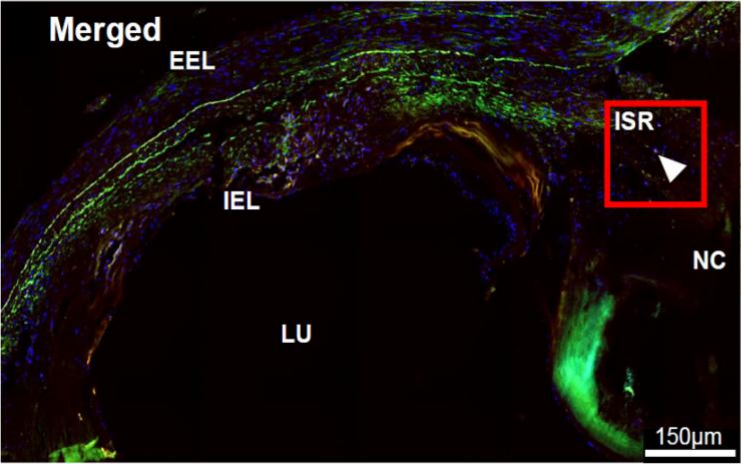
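This is a low-power fluorescence view of an artery wall thickened by an advanced atherosclerotic plaque around a large dark lumen. Bright green wavy bands run parallel to one another in the outer wall, marking the elastic laminae. An orange-brown fibrous band curves along the inner surface. On the right, a bright green fibrous mass lies below a dark region that contains few nuclei.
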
